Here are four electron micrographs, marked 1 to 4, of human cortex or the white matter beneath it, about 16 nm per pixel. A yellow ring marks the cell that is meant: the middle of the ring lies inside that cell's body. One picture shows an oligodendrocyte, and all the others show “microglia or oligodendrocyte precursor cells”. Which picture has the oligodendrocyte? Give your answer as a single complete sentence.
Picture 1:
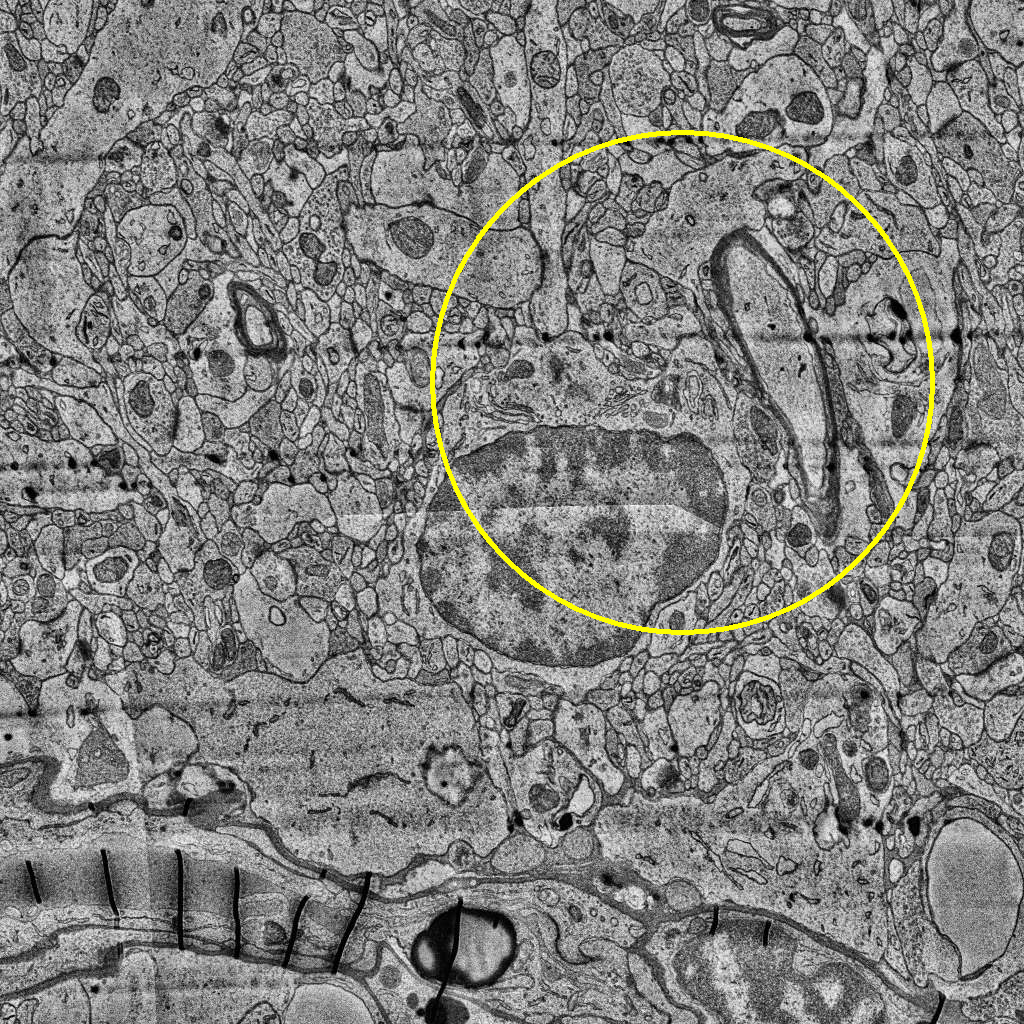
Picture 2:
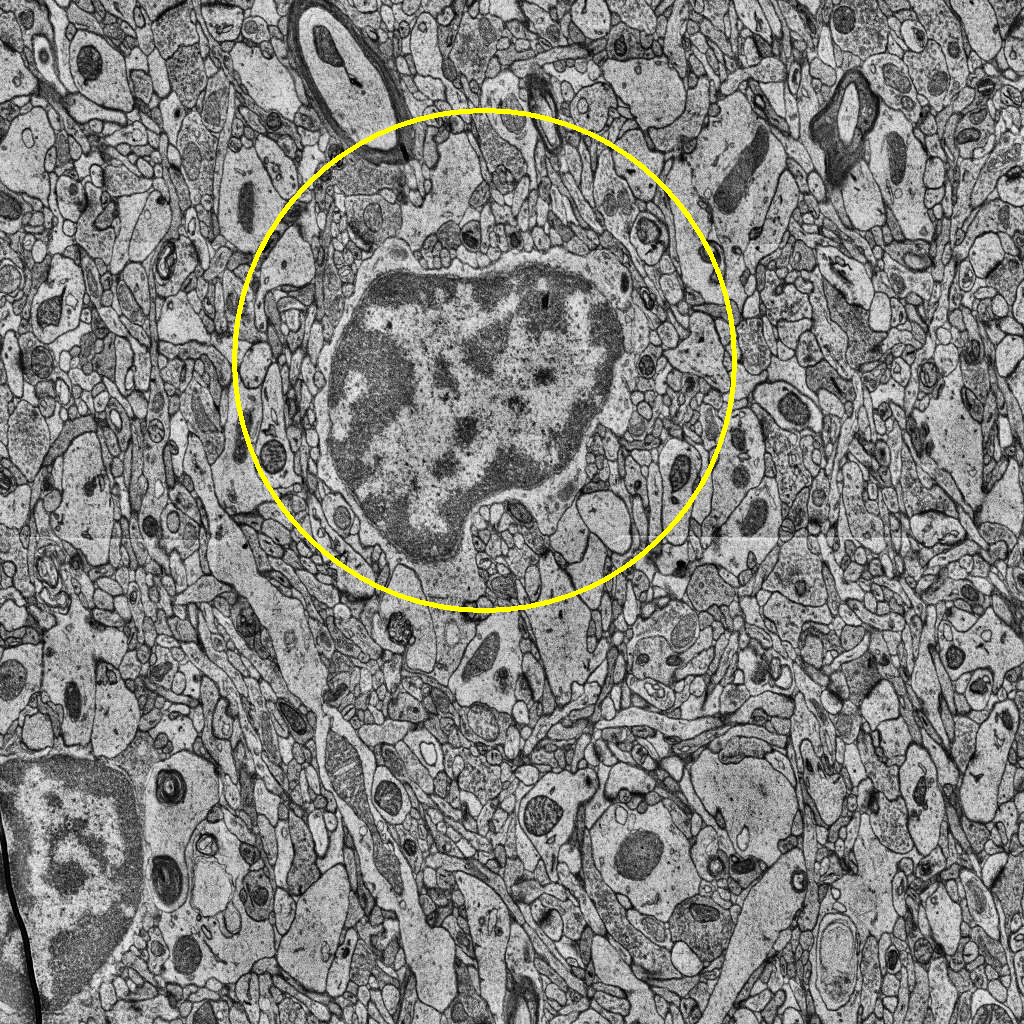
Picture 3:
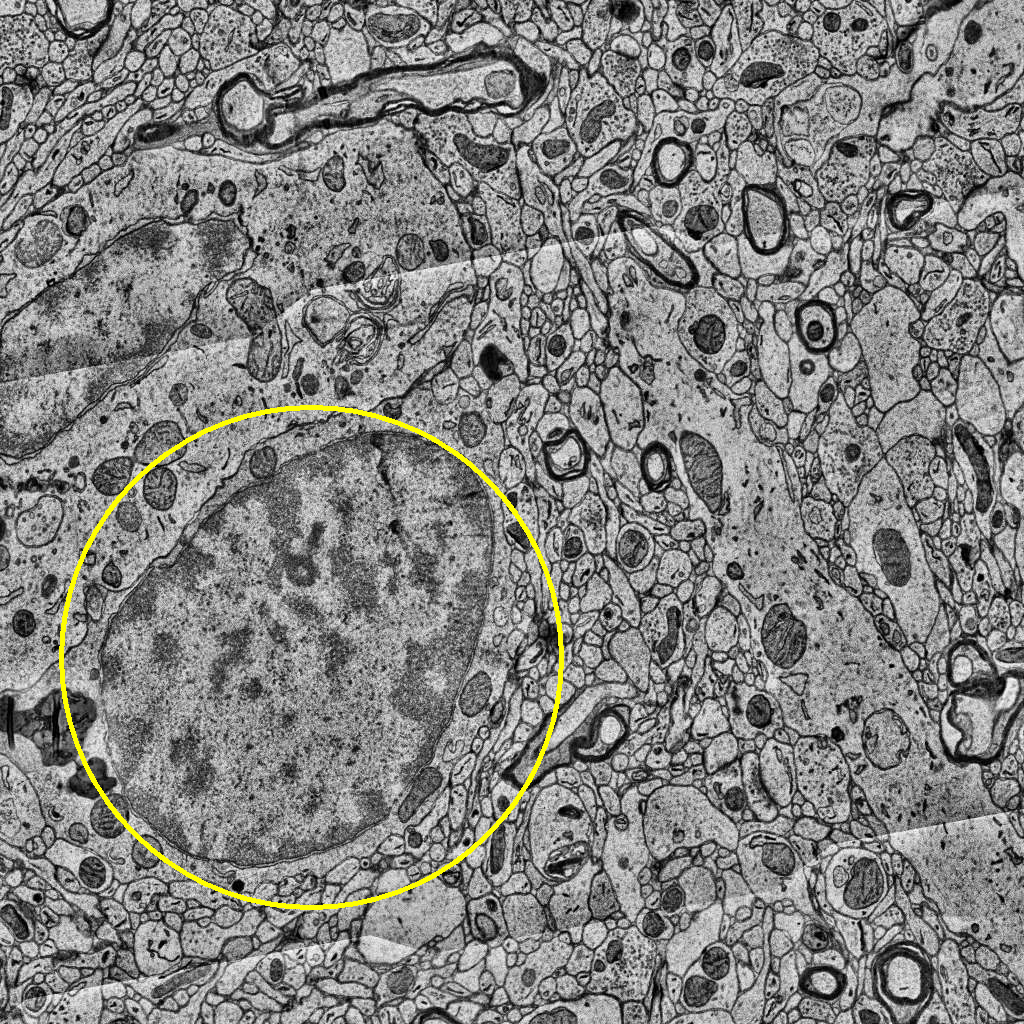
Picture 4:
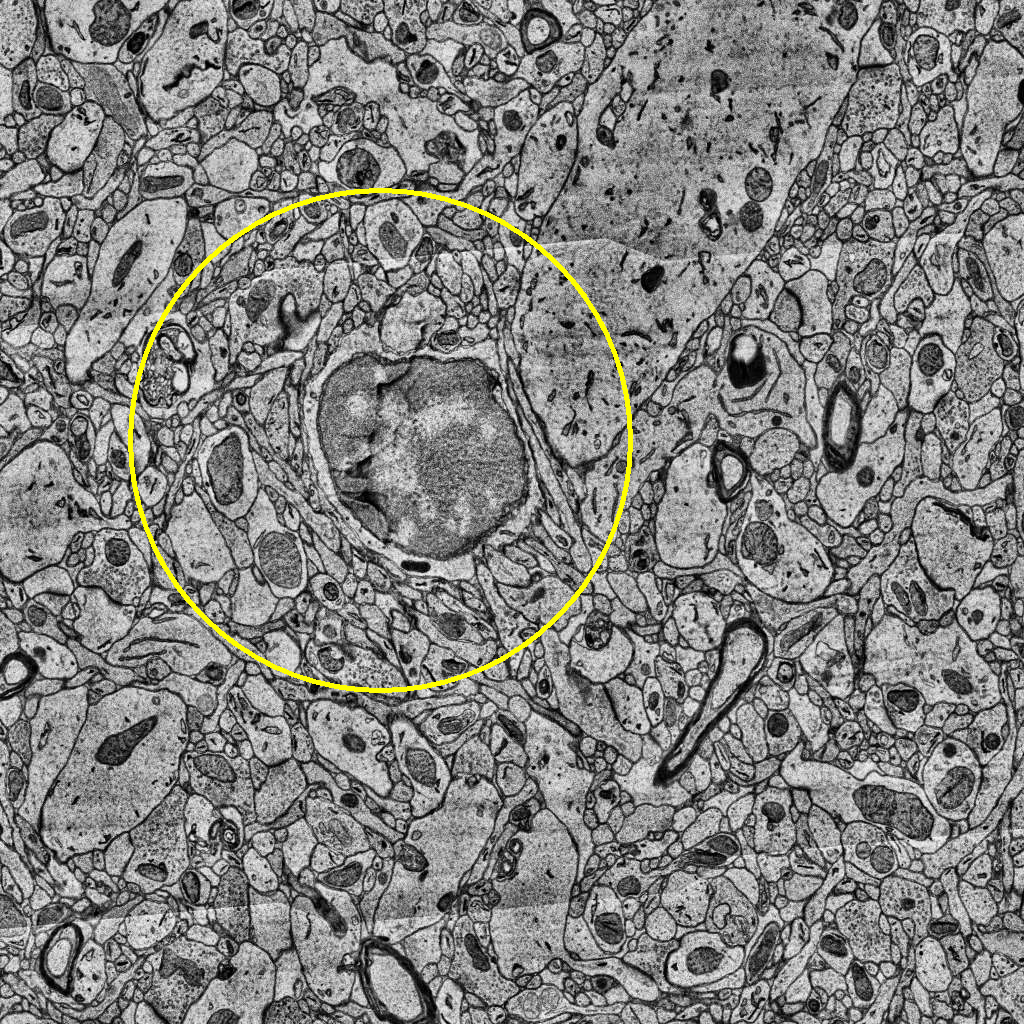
The cell in picture 3 is the oligodendrocyte.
